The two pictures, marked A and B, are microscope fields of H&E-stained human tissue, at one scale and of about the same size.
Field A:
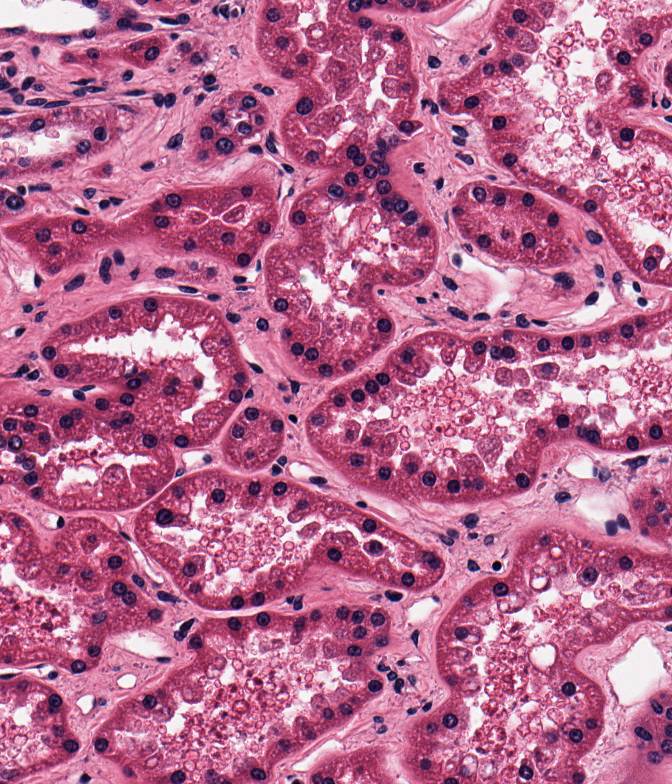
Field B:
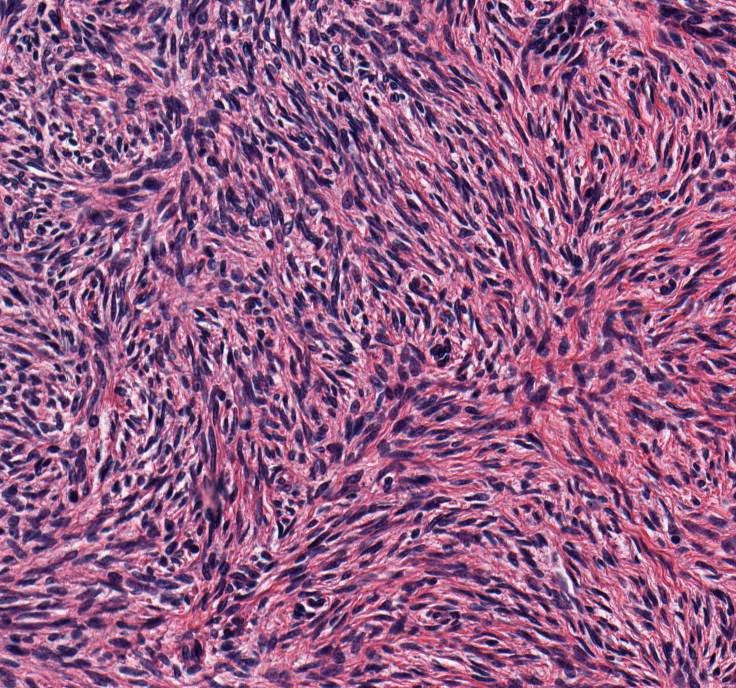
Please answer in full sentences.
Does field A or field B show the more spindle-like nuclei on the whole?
It is field B whose nuclei are the more elongated.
